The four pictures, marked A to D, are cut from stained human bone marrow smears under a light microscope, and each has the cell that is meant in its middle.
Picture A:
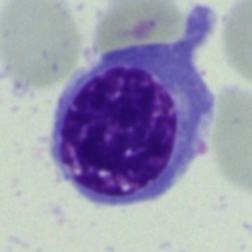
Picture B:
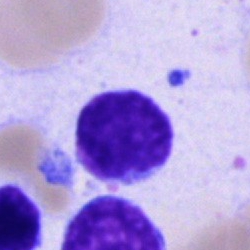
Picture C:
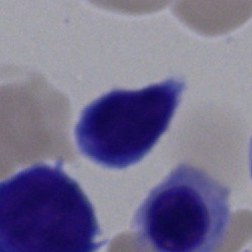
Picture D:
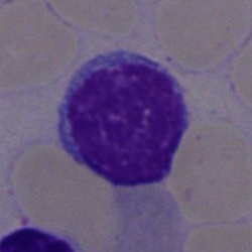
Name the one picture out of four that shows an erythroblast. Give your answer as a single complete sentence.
Picture A is the one that shows the erythroblast.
